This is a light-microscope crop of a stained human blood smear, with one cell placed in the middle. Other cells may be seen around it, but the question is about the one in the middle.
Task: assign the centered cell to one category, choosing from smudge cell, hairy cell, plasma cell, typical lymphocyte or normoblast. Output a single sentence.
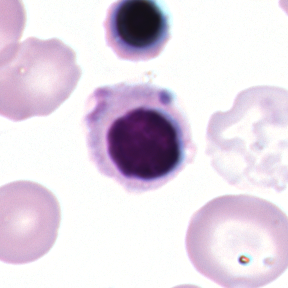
The single cell at the center of the crop is a normoblast.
